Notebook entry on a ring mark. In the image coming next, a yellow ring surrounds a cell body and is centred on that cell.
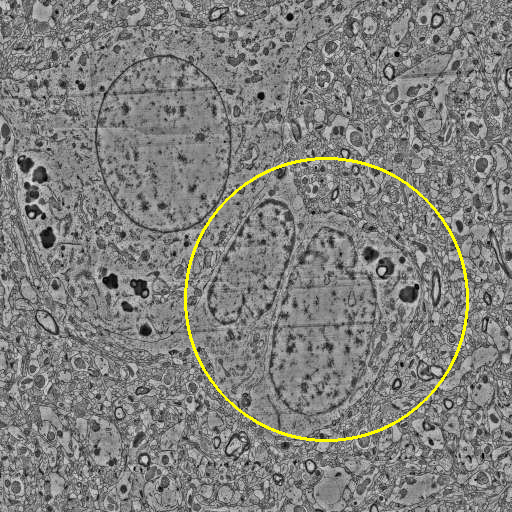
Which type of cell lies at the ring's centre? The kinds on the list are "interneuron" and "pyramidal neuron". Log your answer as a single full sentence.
Centred in the yellow ring is an interneuron, the cell recorded for this image.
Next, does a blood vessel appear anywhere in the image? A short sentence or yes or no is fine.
No, the image shows no blood vessel.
